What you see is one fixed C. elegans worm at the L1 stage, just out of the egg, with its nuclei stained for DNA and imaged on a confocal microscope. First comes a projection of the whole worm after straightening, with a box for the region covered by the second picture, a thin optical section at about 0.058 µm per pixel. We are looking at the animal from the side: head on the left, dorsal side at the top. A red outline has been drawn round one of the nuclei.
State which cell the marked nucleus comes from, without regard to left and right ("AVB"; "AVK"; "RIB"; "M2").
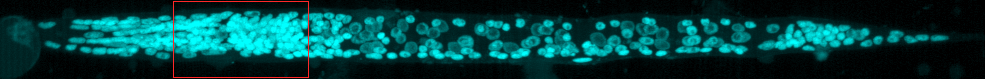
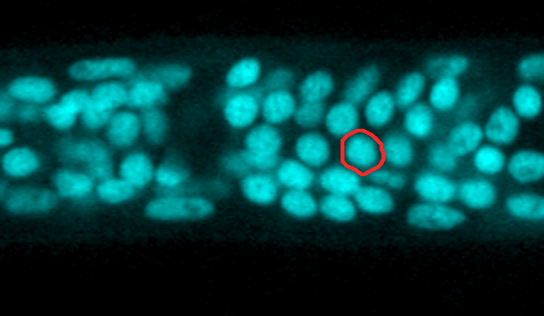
RIB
